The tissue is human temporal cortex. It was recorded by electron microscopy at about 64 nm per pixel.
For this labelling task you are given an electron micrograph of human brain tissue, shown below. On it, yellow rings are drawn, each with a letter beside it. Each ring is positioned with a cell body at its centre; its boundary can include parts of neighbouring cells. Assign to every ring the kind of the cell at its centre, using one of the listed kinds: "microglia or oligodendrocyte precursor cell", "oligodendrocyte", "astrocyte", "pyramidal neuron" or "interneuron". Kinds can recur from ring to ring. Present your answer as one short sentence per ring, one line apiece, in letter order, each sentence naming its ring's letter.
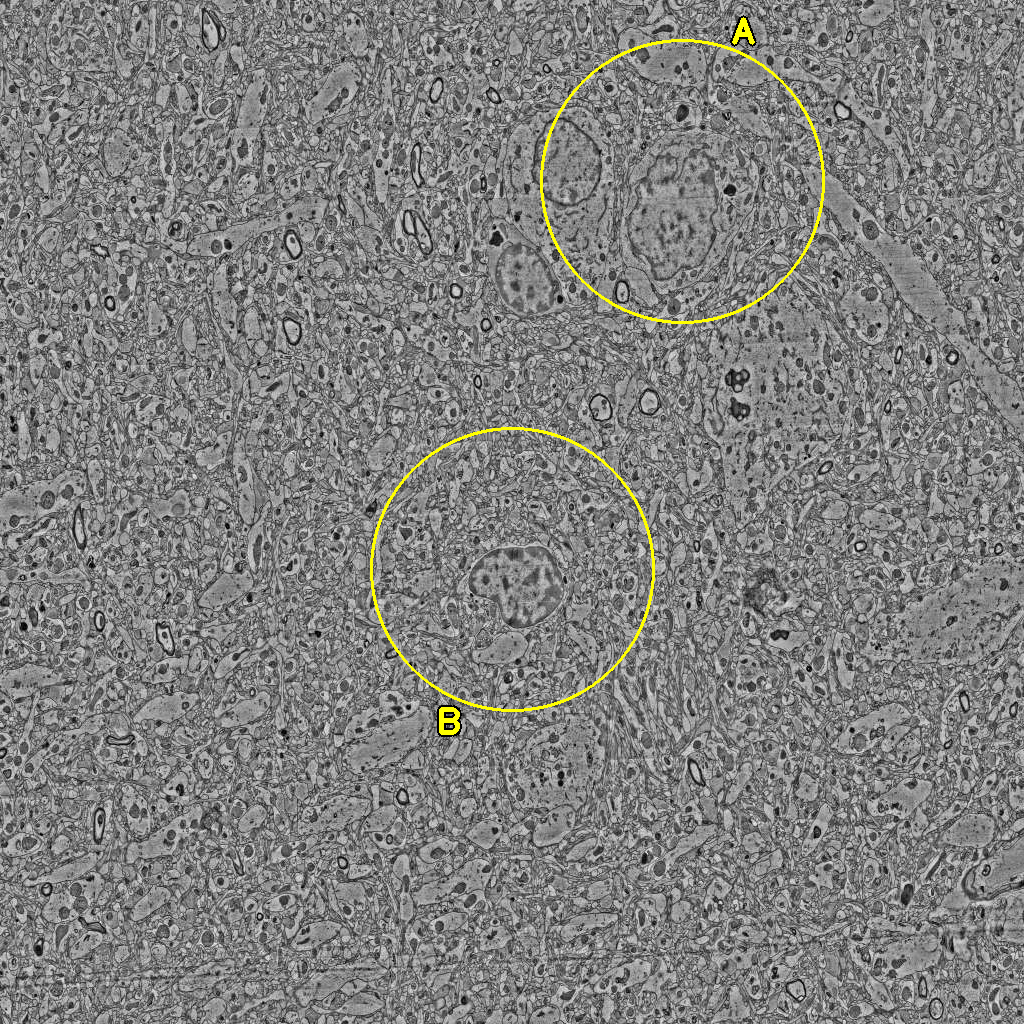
The cell in the middle of ring A is an interneuron.
The cell in the middle of ring B is a microglial cell or oligodendrocyte precursor cell.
